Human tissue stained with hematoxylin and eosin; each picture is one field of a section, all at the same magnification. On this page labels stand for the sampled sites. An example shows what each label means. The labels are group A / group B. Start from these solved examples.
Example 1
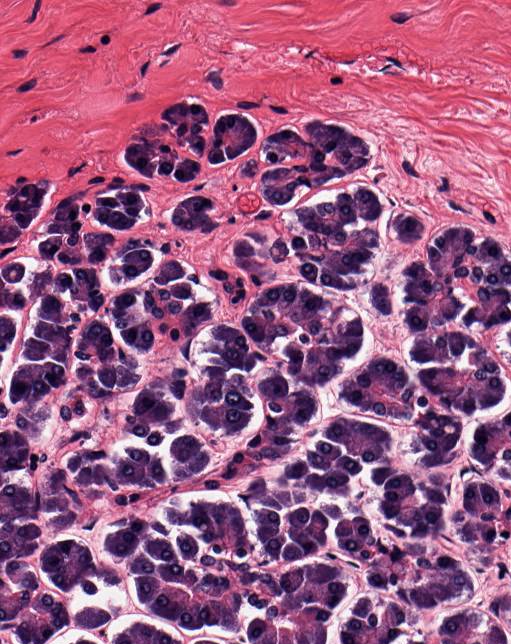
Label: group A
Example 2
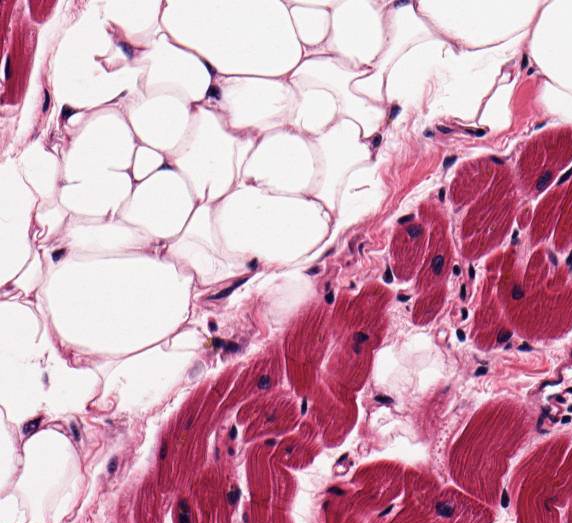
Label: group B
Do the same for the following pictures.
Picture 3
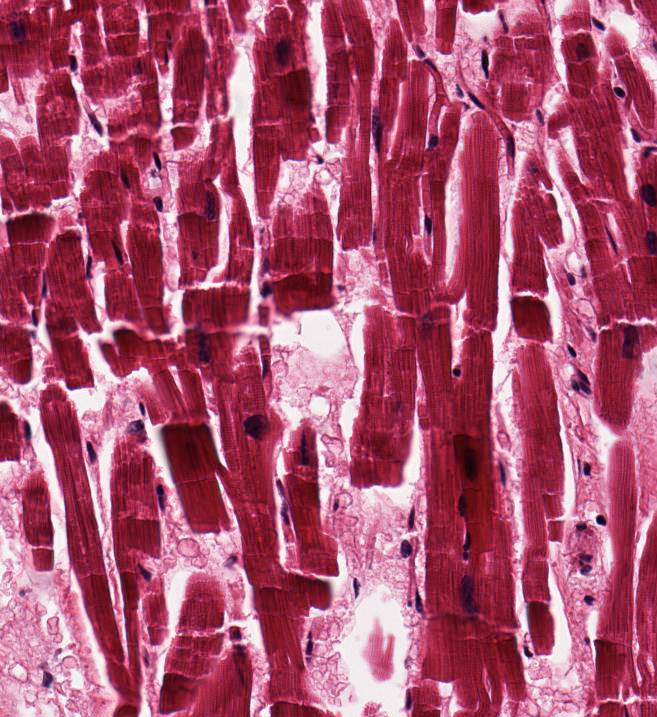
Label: group B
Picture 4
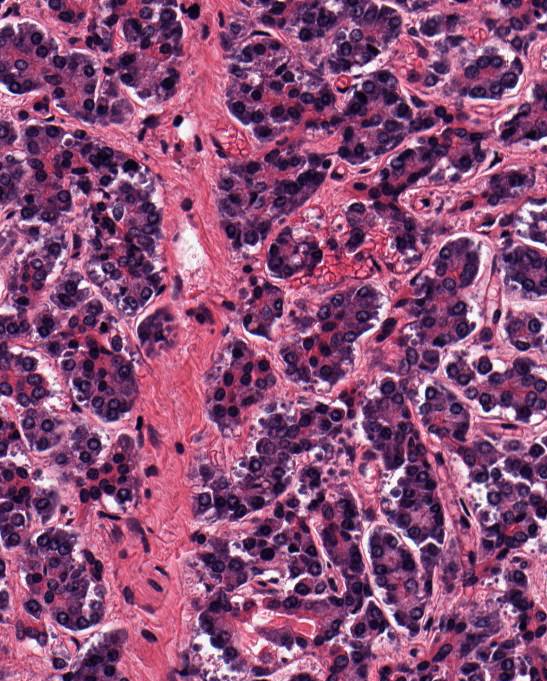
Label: group A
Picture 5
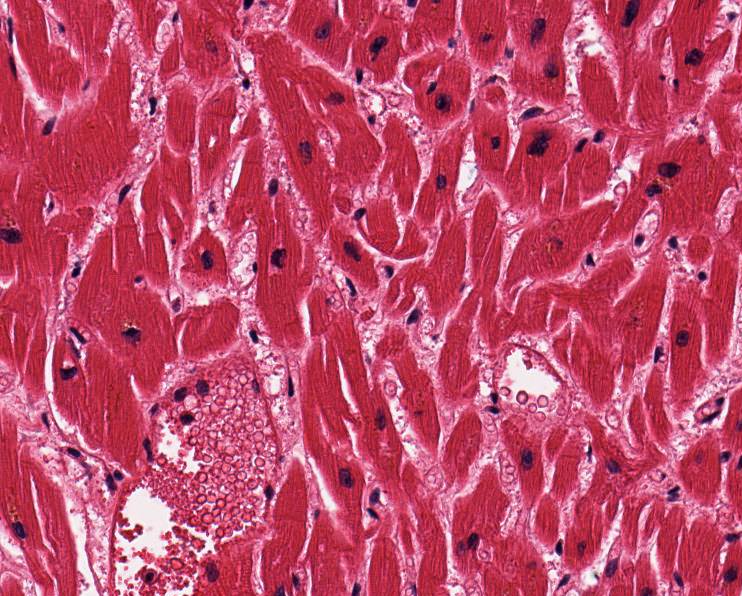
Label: group B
